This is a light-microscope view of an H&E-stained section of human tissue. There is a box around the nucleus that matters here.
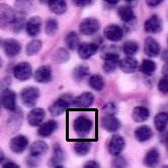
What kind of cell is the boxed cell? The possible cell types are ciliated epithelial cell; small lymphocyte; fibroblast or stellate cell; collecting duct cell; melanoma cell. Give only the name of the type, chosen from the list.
small lymphocyte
